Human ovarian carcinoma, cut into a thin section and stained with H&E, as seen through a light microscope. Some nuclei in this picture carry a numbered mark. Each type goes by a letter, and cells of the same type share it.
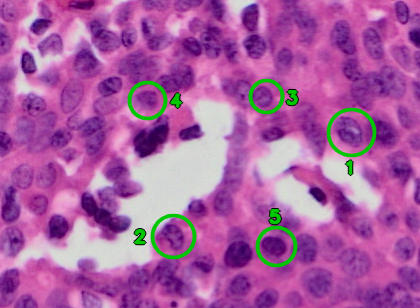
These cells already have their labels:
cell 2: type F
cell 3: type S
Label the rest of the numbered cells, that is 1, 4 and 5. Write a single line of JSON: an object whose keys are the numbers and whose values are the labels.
{"1": "type F", "4": "type S", "5": "type S"}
